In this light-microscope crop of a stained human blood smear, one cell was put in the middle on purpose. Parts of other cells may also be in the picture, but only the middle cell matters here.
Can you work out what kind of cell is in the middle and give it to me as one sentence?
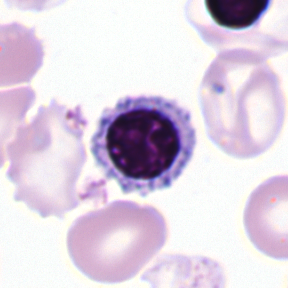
Of the cells in this crop, the central one is an erythroblast.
